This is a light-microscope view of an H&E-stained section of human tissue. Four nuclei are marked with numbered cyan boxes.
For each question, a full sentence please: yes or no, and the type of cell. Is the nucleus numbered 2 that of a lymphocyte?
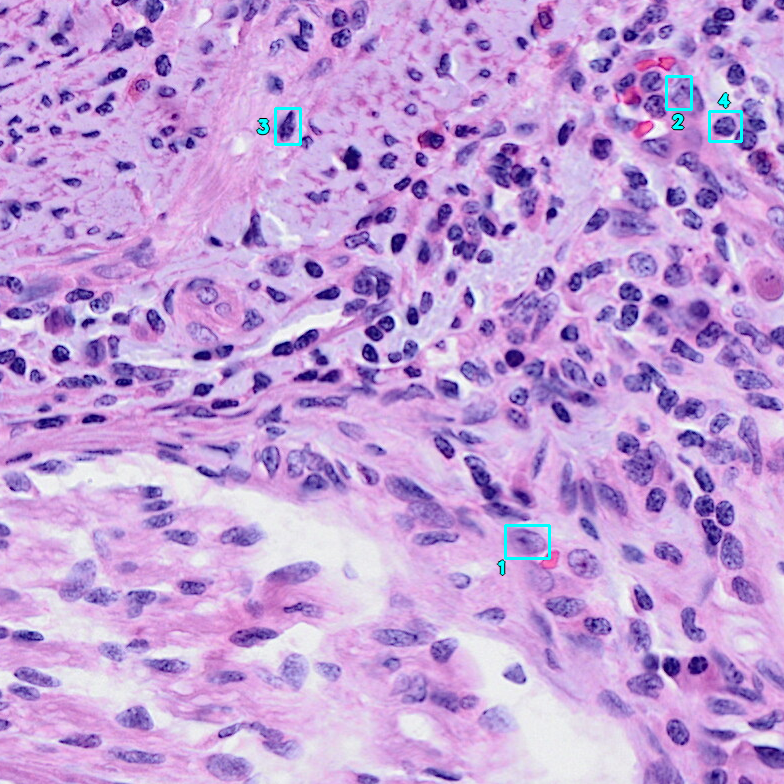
No, the cell under number 2 is an endothelial cell, not a lymphocyte.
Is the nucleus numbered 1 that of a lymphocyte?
No, in terms of cell type, cell 1 is an endothelial cell, not a lymphocyte.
